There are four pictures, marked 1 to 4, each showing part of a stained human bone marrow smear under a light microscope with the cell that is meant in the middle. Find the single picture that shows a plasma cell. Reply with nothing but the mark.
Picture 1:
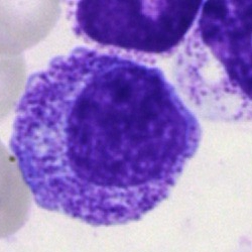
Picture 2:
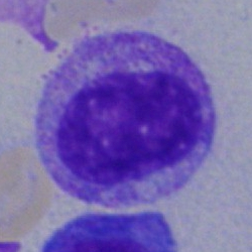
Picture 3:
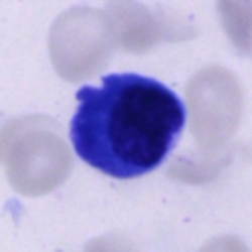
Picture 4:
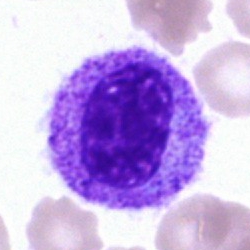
3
